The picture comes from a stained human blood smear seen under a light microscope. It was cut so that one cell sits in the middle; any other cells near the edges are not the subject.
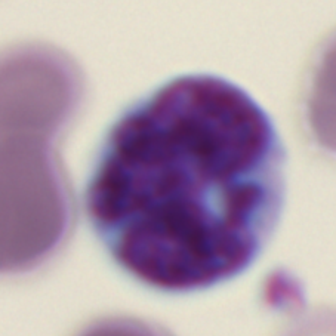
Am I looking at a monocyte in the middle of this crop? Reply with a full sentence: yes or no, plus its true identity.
Yes, the cell in the middle of this smear crop is a monocyte.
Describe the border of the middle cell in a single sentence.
No projections interrupt the outline; it is smooth all the way round.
